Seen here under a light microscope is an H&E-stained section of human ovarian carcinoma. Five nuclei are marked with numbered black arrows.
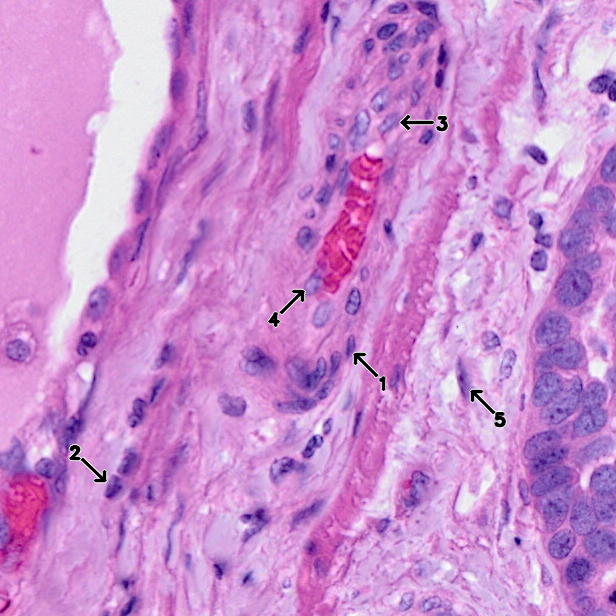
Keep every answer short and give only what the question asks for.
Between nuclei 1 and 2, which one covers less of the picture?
1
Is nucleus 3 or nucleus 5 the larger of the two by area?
5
